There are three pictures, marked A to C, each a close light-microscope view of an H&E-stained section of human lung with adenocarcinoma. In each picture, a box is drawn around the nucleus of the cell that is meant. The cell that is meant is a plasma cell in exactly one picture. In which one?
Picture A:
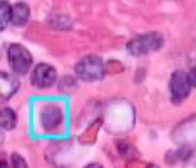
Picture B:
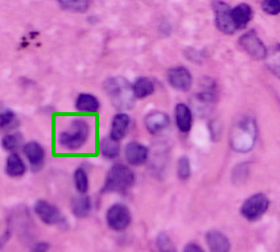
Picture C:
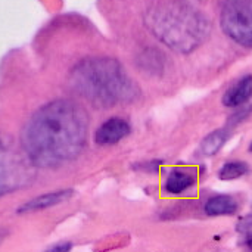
C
